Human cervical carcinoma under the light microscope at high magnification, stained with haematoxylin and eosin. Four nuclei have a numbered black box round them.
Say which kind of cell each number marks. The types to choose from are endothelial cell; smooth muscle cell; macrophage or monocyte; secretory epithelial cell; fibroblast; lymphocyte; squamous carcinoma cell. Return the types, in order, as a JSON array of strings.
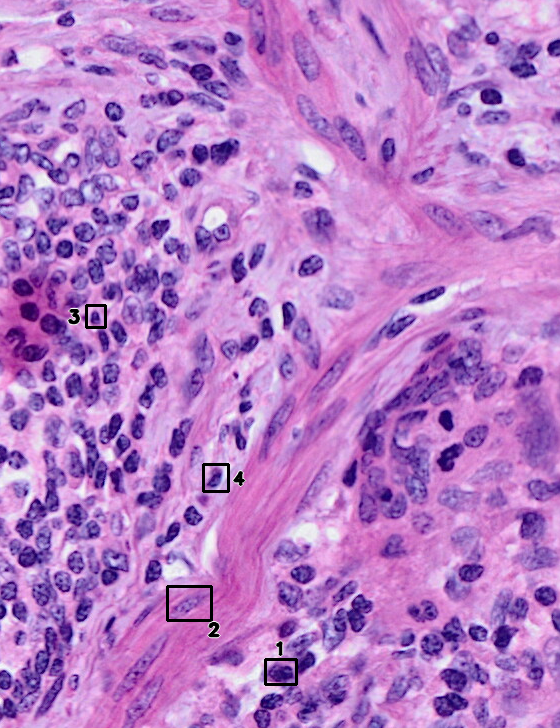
["lymphocyte", "smooth muscle cell", "lymphocyte", "lymphocyte"]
